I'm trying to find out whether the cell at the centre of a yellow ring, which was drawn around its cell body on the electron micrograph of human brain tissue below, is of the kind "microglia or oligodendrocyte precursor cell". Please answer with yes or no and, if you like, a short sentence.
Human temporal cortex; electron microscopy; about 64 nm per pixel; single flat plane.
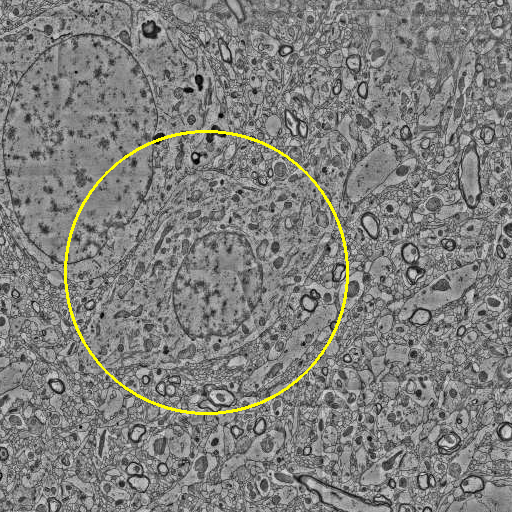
No, that cell is of another kind.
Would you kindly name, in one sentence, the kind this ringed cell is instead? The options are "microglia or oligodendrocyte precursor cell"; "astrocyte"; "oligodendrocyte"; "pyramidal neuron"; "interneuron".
The ring's central cell is an interneuron instead.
